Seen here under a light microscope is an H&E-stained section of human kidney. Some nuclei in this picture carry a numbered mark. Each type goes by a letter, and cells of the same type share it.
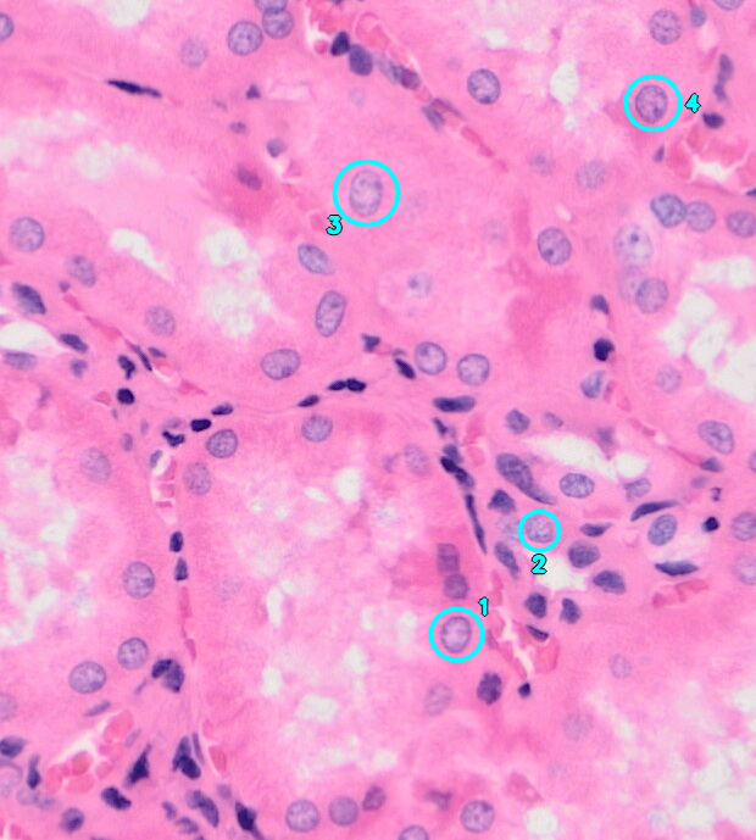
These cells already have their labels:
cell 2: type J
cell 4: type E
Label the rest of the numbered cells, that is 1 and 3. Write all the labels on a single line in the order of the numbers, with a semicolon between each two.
type E; type E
